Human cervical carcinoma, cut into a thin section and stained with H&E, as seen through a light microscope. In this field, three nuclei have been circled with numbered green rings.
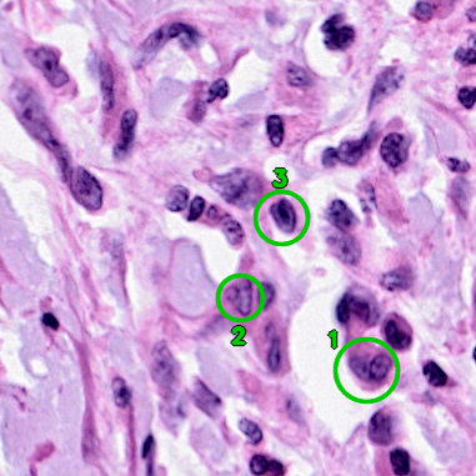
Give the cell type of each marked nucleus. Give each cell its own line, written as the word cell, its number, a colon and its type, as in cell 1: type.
cell 1: macrophage or monocyte
cell 2: endothelial cell
cell 3: lymphocyte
